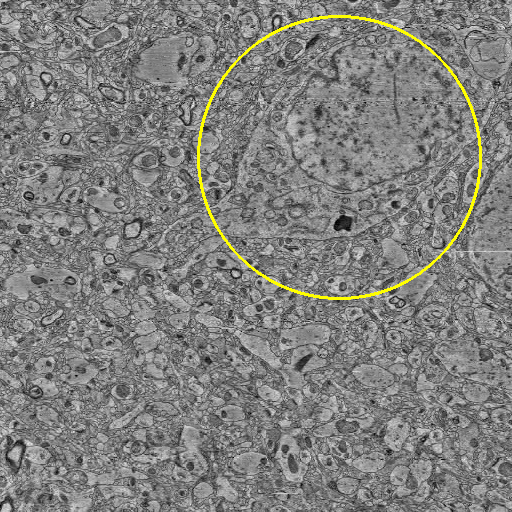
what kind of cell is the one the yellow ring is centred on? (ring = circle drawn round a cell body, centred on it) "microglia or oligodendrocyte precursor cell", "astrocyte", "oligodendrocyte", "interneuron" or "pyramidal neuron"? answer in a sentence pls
The ring is drawn around an interneuron.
